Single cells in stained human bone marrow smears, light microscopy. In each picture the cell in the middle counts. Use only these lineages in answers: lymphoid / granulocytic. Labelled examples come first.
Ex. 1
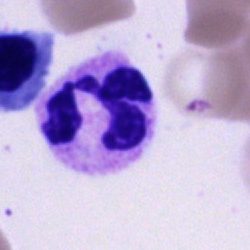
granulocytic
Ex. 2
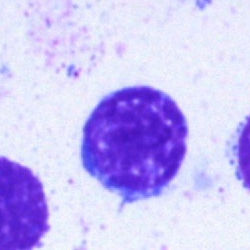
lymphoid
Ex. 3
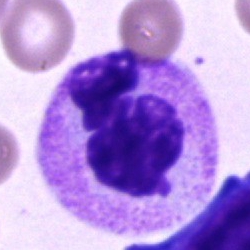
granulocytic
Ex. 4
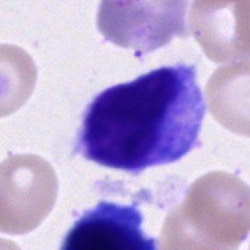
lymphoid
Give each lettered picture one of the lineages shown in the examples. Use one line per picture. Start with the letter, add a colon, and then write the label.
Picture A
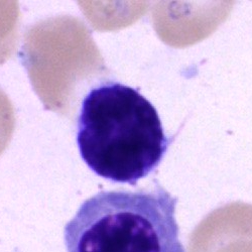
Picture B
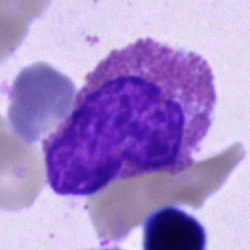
A: lymphoid
B: granulocytic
